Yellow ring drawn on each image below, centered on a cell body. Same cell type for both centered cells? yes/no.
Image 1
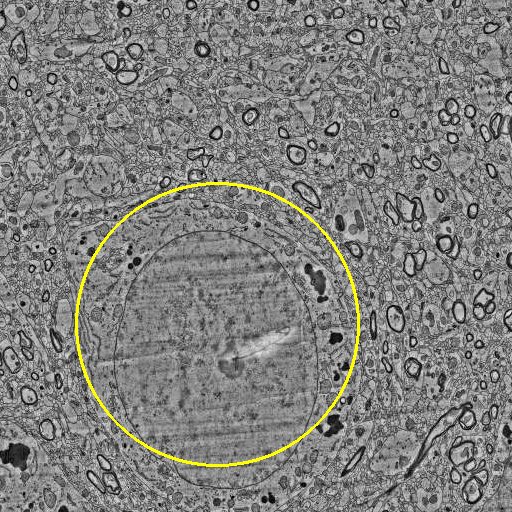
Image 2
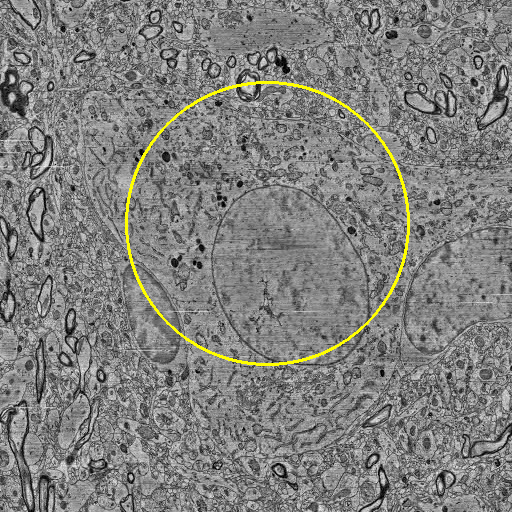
yes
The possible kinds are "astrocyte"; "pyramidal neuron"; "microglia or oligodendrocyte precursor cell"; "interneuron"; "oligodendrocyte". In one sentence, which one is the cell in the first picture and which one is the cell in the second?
Each of the two cells is a pyramidal neuron.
